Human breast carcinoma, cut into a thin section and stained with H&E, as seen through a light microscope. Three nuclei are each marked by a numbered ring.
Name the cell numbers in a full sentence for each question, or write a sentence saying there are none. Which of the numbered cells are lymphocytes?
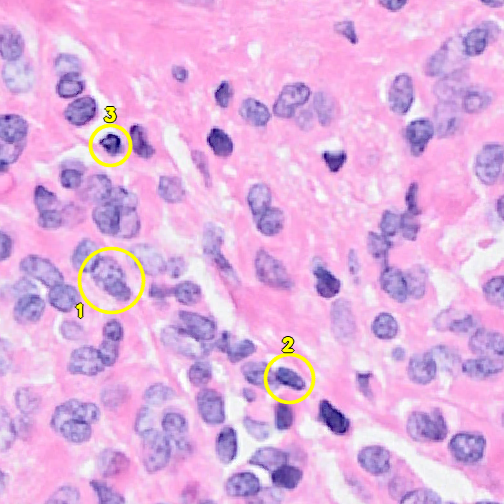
Cells numbered 2 and 3 belong to the group of lymphocytes.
